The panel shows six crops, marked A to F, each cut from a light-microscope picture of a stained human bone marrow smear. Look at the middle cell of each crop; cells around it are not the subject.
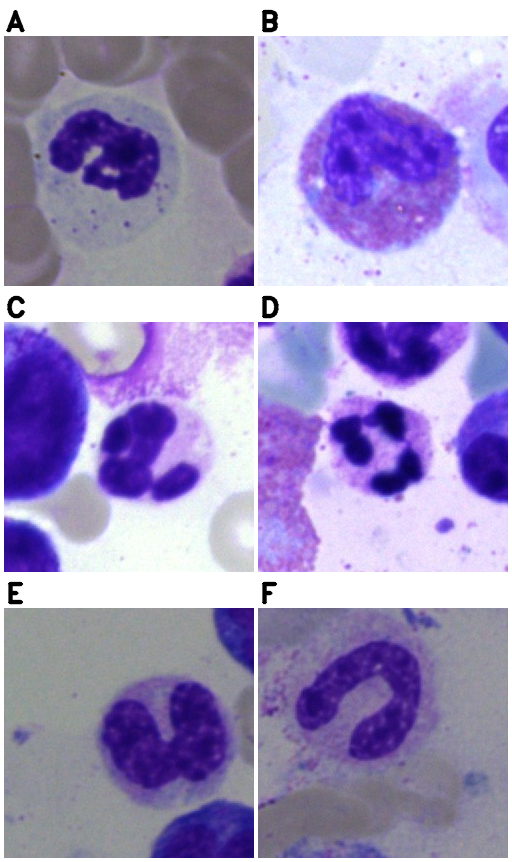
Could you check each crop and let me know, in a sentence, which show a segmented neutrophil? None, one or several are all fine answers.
The crops marked A, C, D and F contain segmented neutrophils at the centre.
